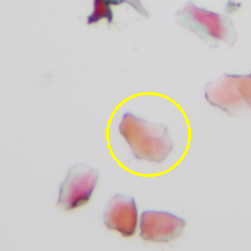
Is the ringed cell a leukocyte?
No, it is a cornified epithelial cell.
